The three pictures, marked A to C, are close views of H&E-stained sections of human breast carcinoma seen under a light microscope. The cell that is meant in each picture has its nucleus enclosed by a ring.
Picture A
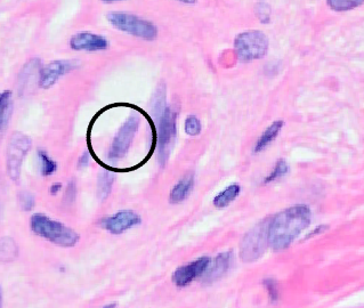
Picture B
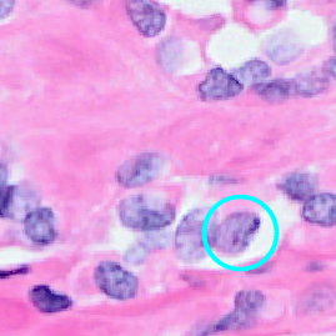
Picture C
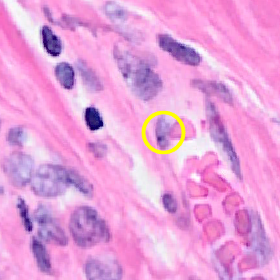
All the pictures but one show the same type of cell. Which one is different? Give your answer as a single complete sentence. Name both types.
Picture B differs, because its cell is a carcinoma cell and the rest are endothelial cells.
